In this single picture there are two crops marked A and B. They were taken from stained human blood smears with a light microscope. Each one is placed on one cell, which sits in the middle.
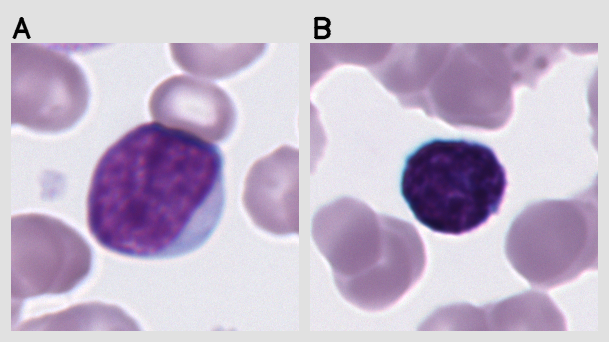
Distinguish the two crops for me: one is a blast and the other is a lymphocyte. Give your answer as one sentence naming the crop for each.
What is seen in crop A is a blast; what is seen in crop B is a lymphocyte.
